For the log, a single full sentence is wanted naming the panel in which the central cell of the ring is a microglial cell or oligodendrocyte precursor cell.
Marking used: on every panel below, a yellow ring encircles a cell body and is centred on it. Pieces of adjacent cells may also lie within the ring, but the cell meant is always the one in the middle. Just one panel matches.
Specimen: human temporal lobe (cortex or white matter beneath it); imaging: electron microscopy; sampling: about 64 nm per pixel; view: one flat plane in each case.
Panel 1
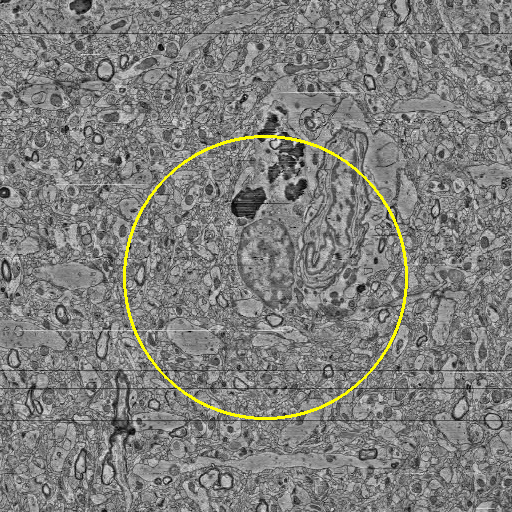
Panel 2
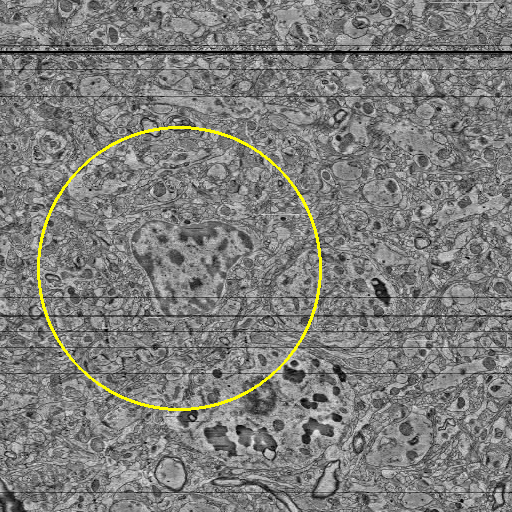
The cell in the middle of the ring in panel 2 is the one asked for.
